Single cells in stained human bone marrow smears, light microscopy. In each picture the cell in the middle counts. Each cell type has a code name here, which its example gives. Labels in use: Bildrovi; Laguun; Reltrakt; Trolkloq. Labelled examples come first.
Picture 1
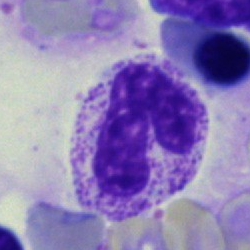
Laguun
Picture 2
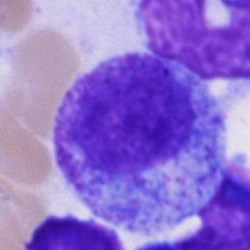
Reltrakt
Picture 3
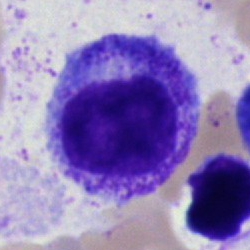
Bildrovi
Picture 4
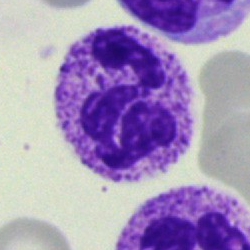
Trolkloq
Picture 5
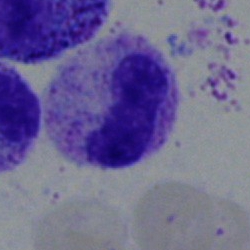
Laguun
